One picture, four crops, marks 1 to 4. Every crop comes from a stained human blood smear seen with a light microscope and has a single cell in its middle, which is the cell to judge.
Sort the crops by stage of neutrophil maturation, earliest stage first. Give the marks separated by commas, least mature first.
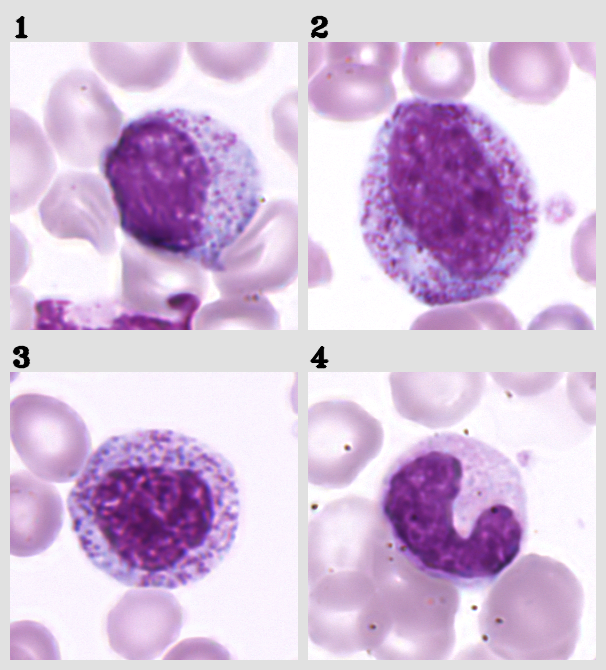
2, 3, 1, 4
